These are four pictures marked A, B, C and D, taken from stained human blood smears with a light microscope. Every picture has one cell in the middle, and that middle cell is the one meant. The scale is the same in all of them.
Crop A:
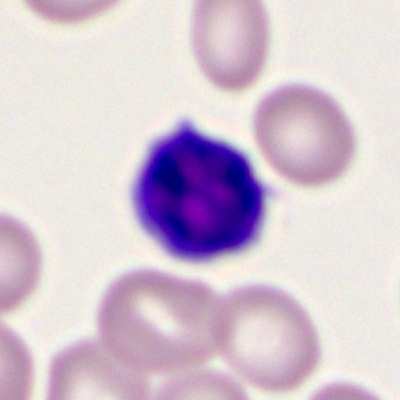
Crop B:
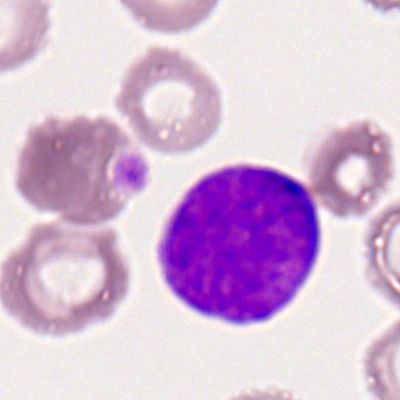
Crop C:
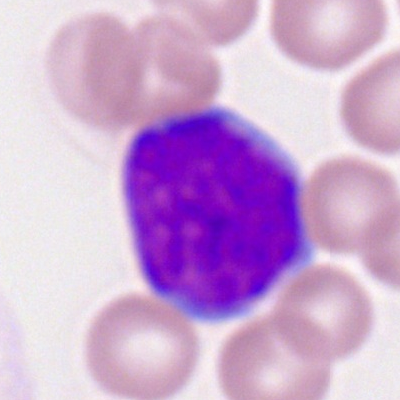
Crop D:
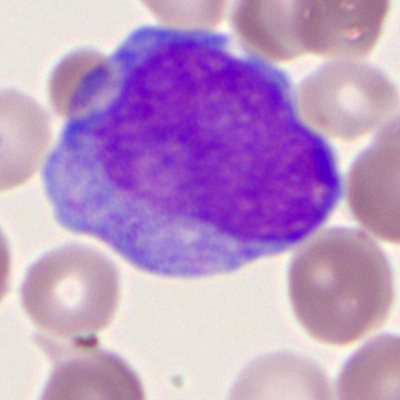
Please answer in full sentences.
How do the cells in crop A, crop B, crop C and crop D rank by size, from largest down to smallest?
Going down, they run D, C, B, A.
